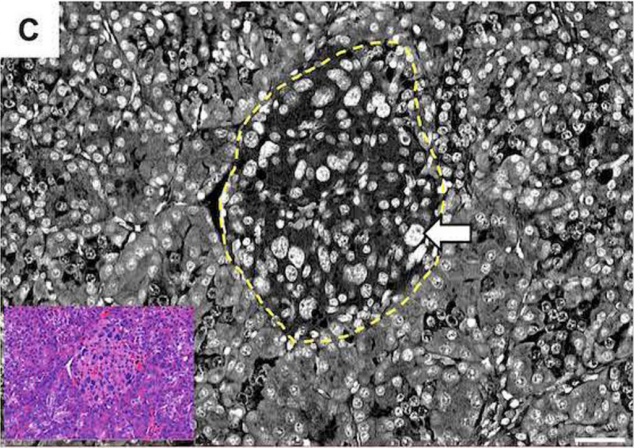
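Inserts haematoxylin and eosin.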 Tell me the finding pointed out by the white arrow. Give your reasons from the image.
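The arrowed nucleus is several times larger than neighbouring nuclei. Other enlarged nuclei are scattered within the outlined cluster.
Nucleomegaly.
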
